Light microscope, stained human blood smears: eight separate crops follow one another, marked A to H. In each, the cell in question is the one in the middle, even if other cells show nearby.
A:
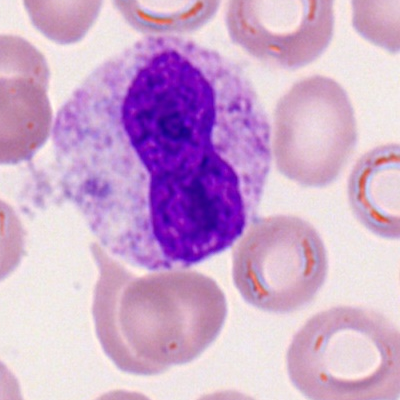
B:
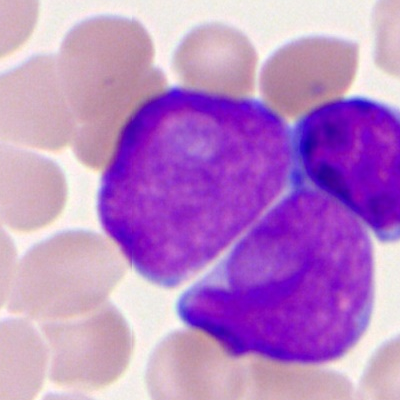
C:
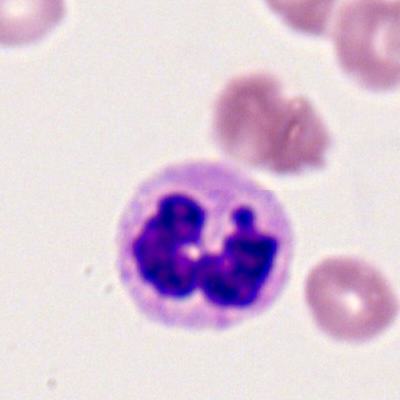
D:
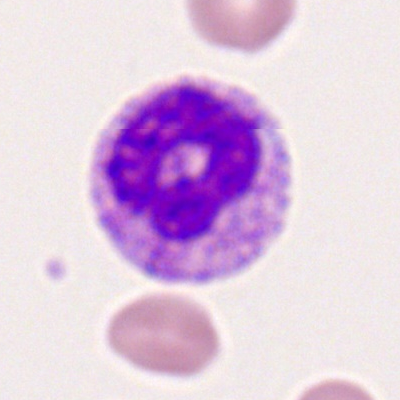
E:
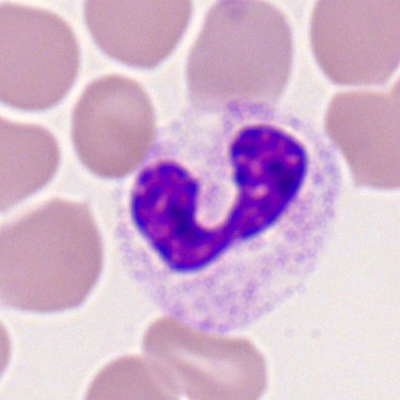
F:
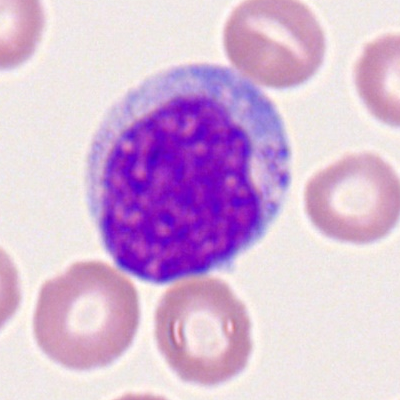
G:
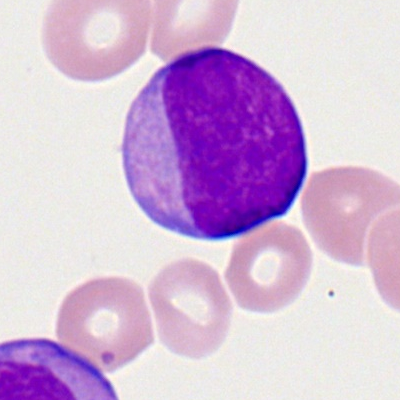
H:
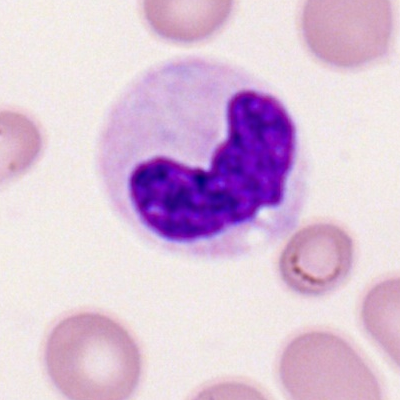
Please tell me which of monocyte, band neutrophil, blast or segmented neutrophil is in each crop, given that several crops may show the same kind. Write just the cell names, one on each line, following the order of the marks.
band neutrophil
blast
segmented neutrophil
band neutrophil
band neutrophil
monocyte
blast
band neutrophil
